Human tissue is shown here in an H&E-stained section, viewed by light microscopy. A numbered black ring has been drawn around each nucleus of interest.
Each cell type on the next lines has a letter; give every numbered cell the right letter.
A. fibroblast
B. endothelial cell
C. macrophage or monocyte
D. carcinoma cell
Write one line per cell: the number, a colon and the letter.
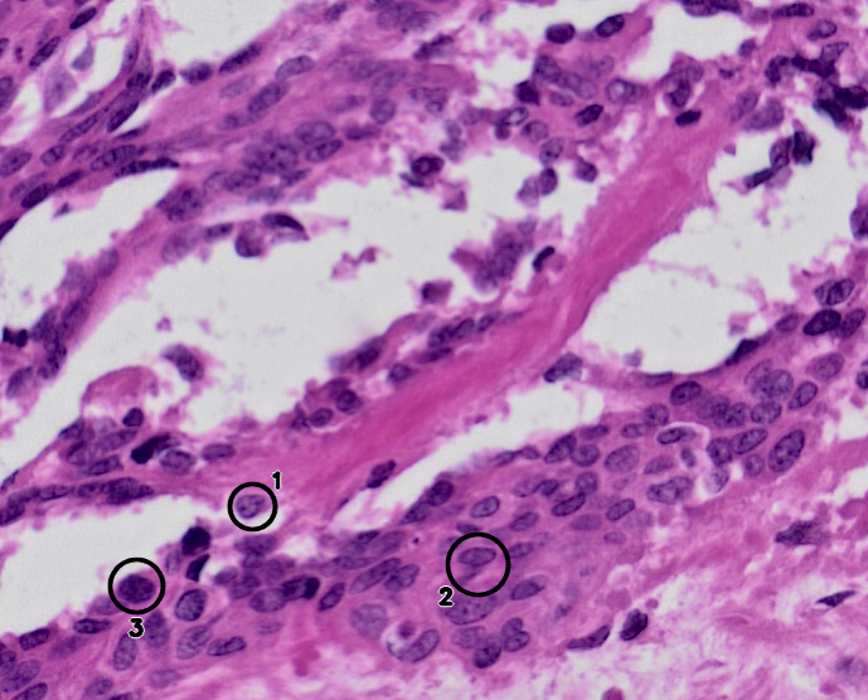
1: C
2: D
3: D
